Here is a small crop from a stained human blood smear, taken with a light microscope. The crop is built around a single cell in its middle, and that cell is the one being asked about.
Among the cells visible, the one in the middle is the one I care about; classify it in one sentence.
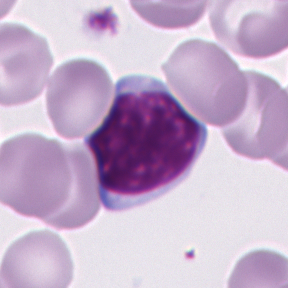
The middle position in this crop is taken by a typical lymphocyte.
